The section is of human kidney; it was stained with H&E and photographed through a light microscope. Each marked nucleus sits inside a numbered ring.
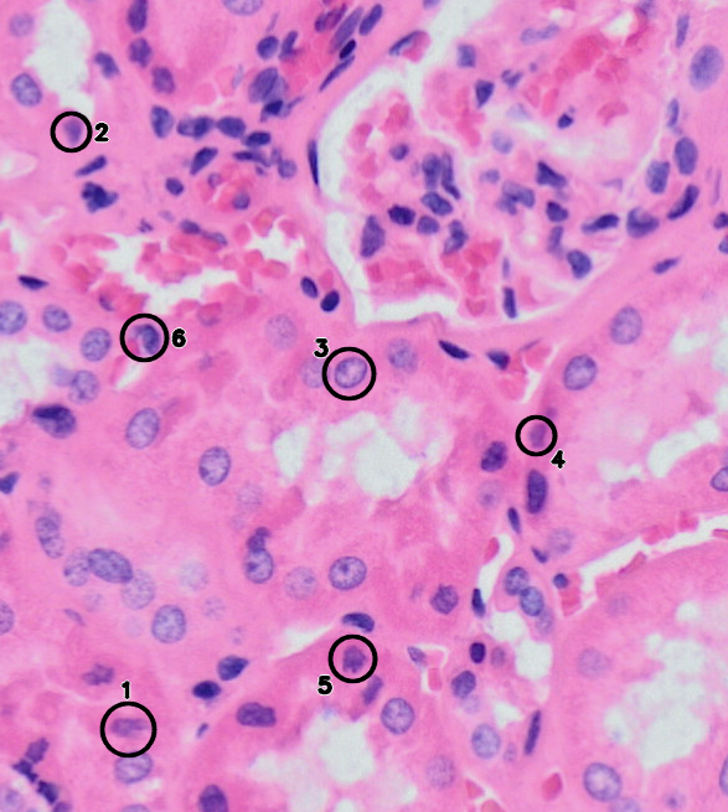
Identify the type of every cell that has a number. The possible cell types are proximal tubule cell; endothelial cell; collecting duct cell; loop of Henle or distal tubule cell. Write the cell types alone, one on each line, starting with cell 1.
proximal tubule cell
loop of Henle or distal tubule cell
proximal tubule cell
proximal tubule cell
proximal tubule cell
endothelial cell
